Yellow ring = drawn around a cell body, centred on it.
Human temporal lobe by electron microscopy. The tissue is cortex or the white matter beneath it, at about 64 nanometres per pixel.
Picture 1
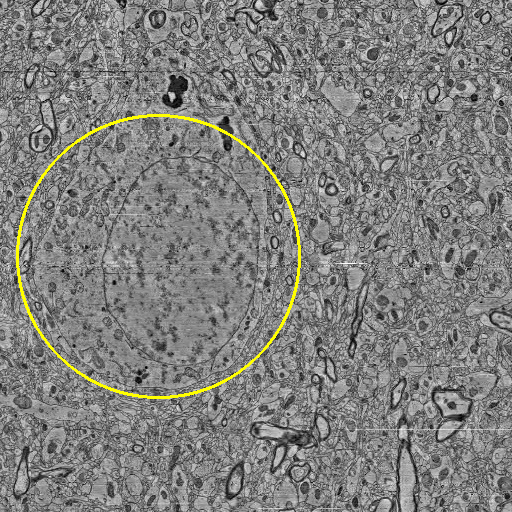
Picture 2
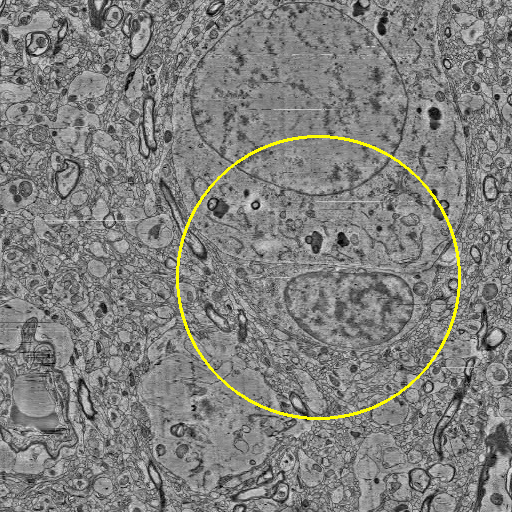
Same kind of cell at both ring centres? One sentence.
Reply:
No, they are two kinds of cell.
